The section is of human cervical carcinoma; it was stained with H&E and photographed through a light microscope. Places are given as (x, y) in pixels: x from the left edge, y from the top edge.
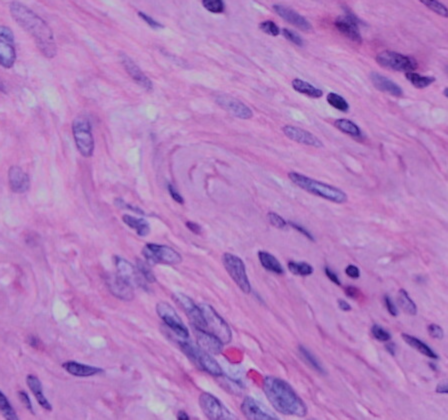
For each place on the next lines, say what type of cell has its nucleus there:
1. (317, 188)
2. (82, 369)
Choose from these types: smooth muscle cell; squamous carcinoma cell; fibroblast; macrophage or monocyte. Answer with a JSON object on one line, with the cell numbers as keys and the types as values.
{"1": "smooth muscle cell", "2": "fibroblast"}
